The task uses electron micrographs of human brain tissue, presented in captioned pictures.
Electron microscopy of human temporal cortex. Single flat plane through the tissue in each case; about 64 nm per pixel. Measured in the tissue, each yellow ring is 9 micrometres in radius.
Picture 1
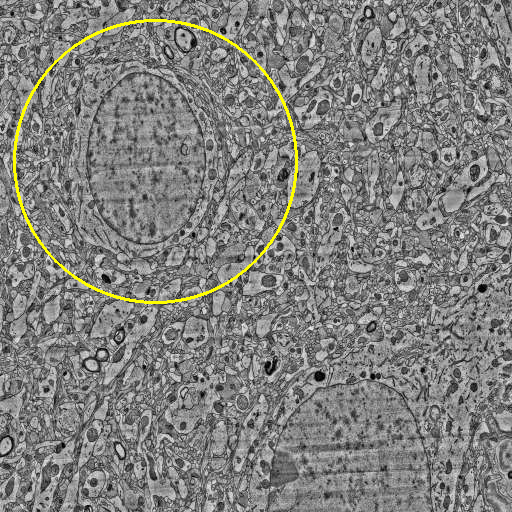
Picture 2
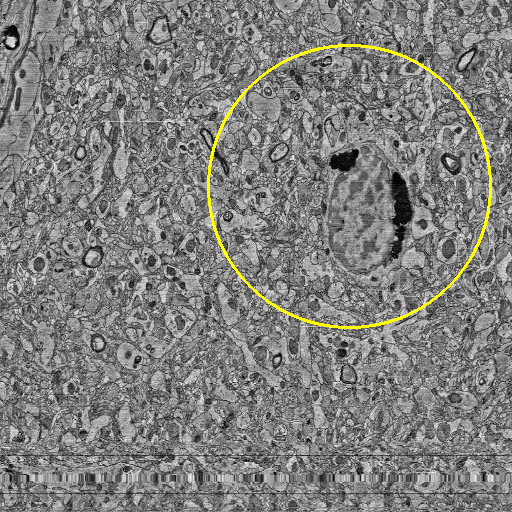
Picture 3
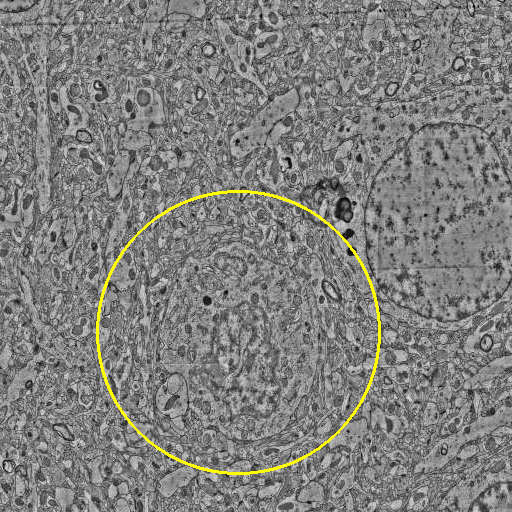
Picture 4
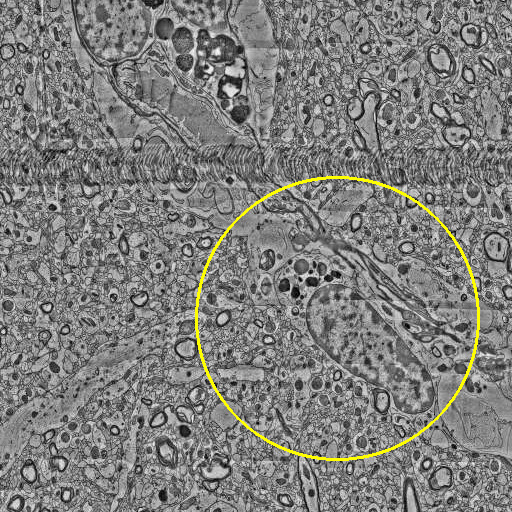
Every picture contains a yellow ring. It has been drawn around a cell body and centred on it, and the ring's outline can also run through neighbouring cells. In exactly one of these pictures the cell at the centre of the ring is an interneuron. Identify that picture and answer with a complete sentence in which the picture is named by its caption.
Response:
The ring in Picture 3 is centred on that kind of cell.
